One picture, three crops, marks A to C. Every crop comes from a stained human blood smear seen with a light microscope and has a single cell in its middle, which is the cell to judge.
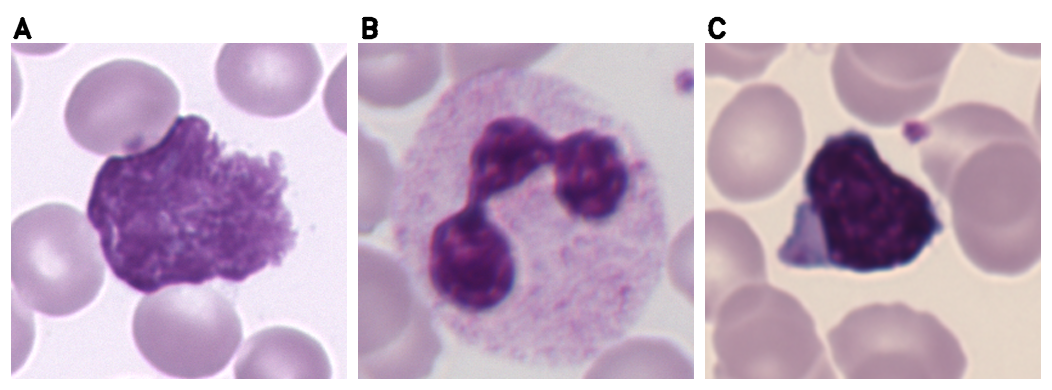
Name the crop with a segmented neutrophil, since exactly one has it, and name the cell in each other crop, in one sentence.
The cell centred in crop B is a segmented neutrophil; by contrast, crop A is a smudge cell and crop C is a typical lymphocyte.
